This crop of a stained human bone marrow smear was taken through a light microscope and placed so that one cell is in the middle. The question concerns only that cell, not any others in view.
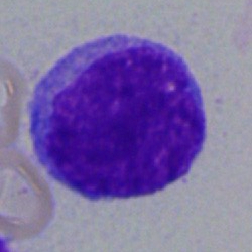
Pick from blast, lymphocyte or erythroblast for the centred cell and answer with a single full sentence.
The central element of this crop is a cell, namely a blast.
